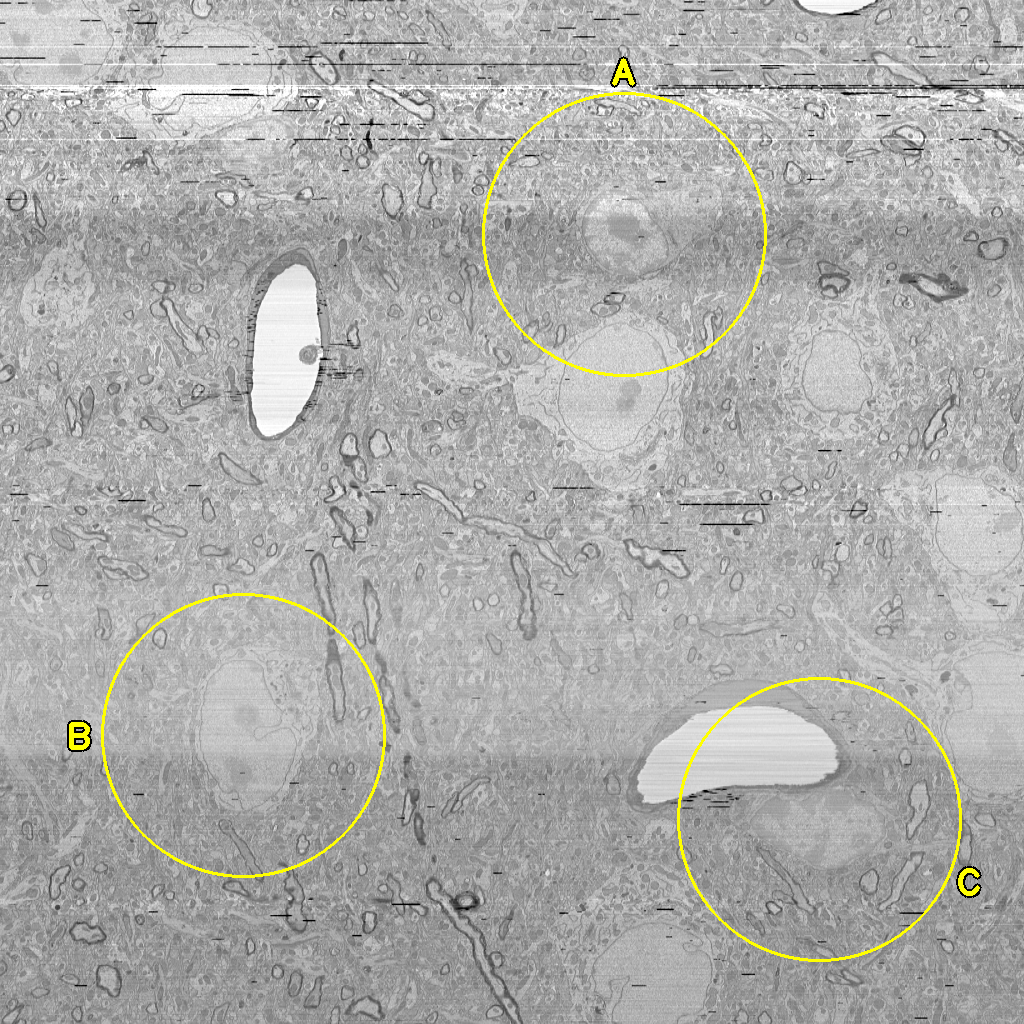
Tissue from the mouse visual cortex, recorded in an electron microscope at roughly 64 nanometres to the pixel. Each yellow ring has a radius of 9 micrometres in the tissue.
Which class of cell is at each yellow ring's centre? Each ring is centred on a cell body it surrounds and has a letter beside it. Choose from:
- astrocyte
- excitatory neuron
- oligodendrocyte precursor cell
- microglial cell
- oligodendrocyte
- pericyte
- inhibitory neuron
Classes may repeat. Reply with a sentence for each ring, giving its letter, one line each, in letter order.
The ring lettered A is centred on an oligodendrocyte.
The ring lettered B is centred on an excitatory neuron.
The ring lettered C is centred on an oligodendrocyte.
